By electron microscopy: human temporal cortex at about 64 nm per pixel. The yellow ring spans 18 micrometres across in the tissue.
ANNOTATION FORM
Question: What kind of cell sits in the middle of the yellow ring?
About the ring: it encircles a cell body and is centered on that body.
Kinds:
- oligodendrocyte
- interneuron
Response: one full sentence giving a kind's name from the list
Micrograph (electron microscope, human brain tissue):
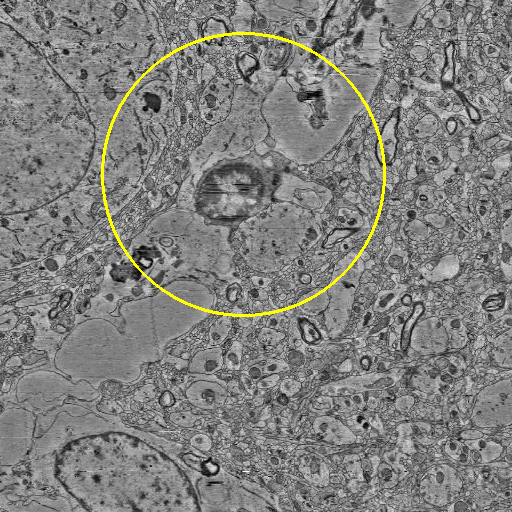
The kind of cell found at the center of the yellow ring in the micrograph is an oligodendrocyte.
